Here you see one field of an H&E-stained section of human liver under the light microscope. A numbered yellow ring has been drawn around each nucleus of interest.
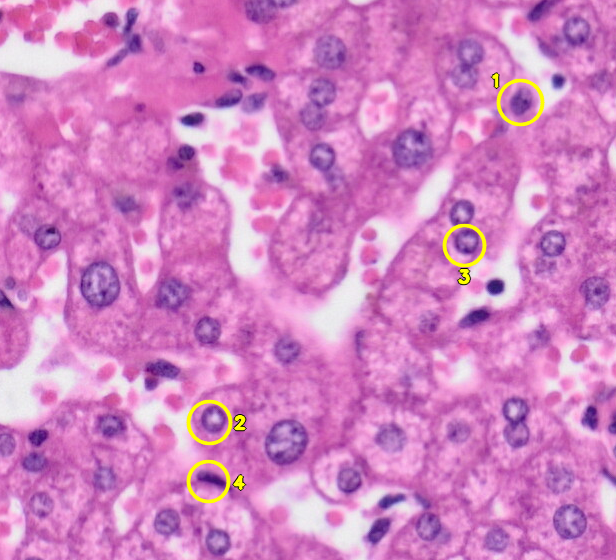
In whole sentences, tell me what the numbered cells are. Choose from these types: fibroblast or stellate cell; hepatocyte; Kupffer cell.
Cell 1 is a Kupffer cell. Cells 2 and 3 are hepatocytes. Cell 4 is a fibroblast or stellate cell.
